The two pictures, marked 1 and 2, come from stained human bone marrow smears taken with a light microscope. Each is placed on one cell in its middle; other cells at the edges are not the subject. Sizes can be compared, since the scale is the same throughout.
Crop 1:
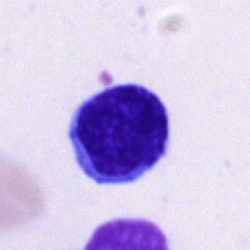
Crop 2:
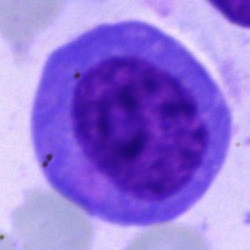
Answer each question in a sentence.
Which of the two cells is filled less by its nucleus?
In crop 2 the nucleus takes up the smaller part of its cell.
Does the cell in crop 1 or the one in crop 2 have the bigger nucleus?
Crop 2 shows the larger nucleus; it covers about 2.5 times the area of the nucleus in crop 1.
